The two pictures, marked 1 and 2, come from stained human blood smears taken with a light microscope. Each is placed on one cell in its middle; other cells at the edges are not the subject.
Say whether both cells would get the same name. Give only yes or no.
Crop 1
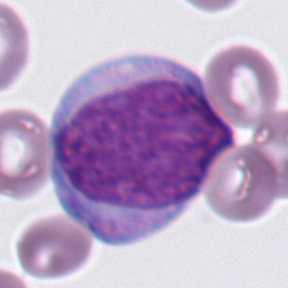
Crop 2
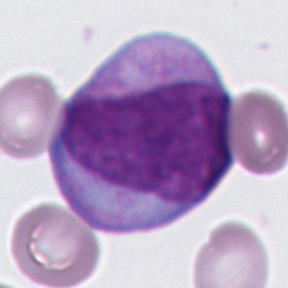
yes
